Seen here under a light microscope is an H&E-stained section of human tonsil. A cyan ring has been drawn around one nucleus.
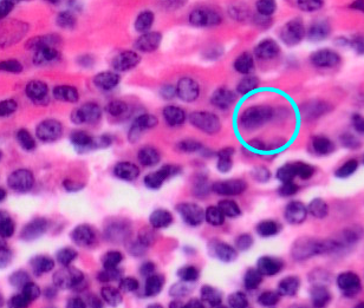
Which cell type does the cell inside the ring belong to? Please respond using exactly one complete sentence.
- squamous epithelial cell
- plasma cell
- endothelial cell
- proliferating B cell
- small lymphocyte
As to its cell type, the cell inside the ring is an endothelial cell.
